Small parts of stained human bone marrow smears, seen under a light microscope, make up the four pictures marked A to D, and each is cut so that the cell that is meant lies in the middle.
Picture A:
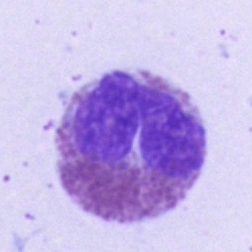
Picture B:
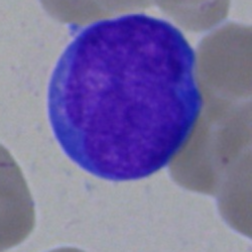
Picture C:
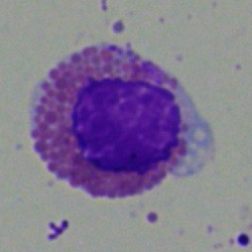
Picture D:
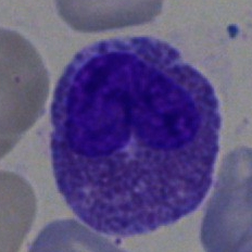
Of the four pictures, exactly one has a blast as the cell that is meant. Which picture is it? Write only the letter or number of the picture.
B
